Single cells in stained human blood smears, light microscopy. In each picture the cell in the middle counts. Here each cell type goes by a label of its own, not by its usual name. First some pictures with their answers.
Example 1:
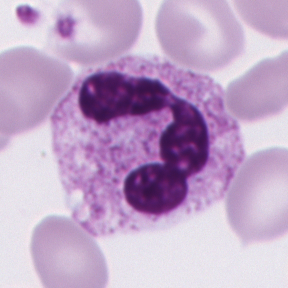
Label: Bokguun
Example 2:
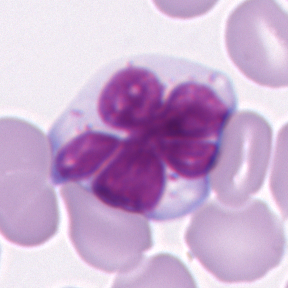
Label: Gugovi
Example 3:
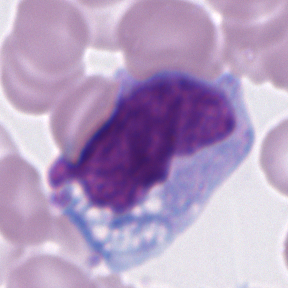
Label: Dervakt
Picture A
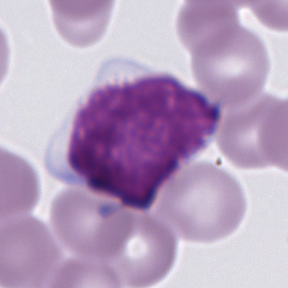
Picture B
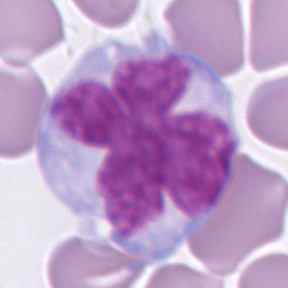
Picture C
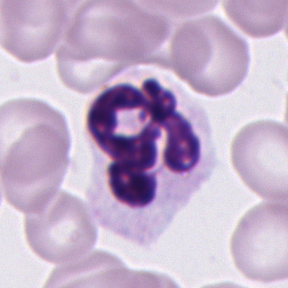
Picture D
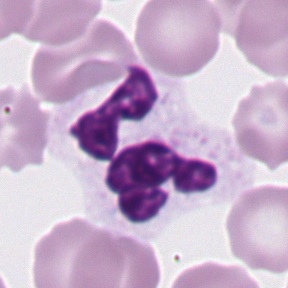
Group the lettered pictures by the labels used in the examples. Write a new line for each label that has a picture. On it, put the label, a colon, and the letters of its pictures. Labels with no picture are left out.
Bokguun: C, D
Gugovi: A
Dervakt: B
